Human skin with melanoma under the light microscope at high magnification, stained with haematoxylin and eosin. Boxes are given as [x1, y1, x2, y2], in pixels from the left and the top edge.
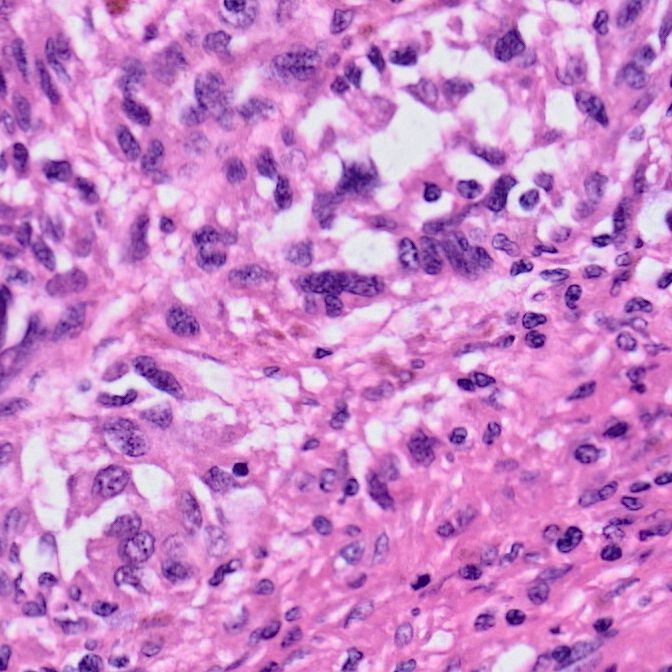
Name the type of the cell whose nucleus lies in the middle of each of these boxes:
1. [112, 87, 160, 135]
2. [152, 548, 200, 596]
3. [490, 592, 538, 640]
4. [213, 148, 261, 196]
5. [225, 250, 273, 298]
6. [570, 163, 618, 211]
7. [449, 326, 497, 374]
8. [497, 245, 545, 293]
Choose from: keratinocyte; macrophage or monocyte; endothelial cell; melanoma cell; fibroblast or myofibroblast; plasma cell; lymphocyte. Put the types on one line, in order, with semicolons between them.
melanoma cell; melanoma cell; lymphocyte; melanoma cell; melanoma cell; melanoma cell; fibroblast or myofibroblast; lymphocyte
